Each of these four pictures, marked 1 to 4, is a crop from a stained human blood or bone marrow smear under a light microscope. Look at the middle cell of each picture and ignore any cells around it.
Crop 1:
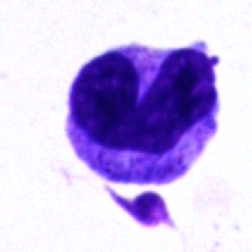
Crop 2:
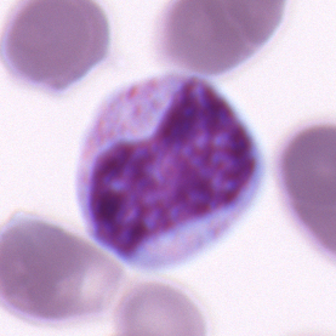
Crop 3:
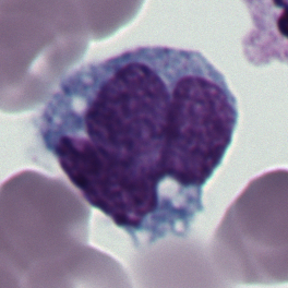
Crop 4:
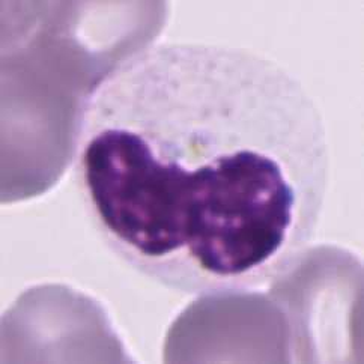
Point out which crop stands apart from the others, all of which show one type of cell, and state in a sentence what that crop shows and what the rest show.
The exception is crop 3, with a monocyte; the remaining crops all show band neutrophils.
